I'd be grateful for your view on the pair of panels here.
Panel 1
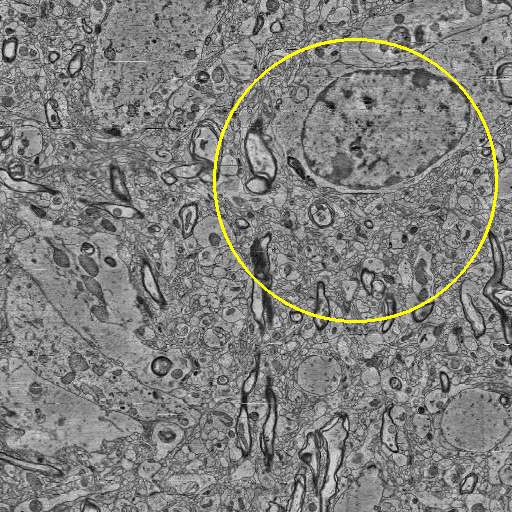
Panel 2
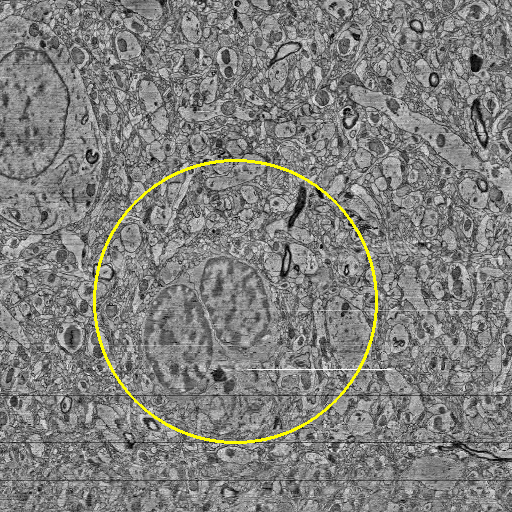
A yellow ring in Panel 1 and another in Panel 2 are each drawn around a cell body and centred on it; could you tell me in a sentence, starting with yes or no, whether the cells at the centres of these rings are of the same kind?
No, they are two kinds of cell.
